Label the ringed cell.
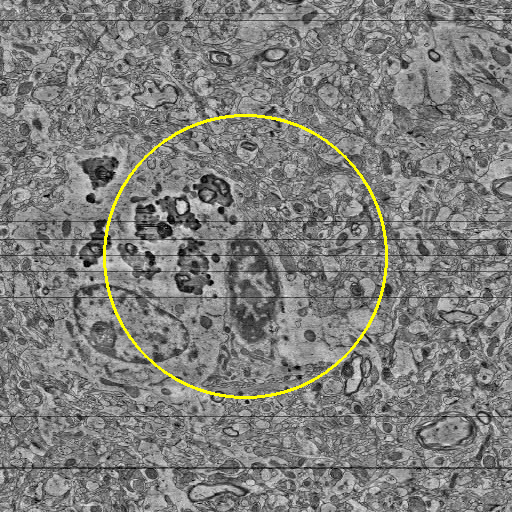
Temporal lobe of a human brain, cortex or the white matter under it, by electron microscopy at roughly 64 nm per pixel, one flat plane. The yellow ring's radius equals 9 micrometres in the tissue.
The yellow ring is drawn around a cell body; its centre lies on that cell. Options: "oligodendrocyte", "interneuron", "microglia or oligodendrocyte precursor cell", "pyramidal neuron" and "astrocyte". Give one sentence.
The ringed cell is a microglial cell or oligodendrocyte precursor cell.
